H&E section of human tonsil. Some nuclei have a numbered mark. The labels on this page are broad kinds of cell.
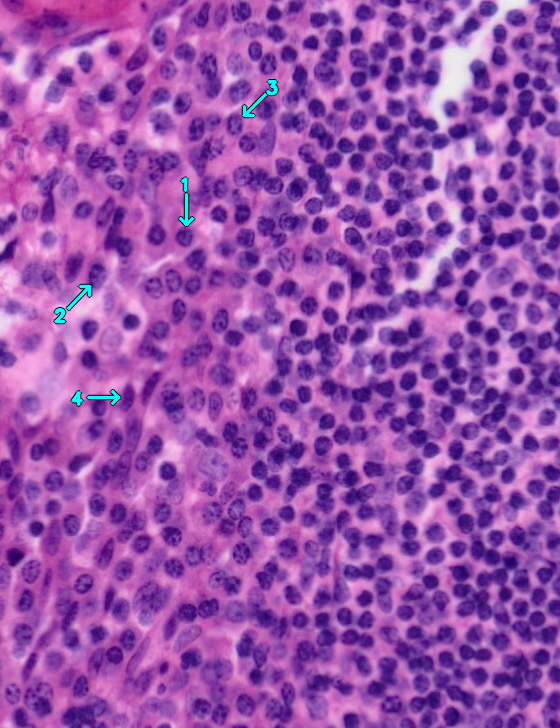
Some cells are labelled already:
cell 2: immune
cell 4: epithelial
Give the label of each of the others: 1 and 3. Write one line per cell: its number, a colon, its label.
1: immune
3: immune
